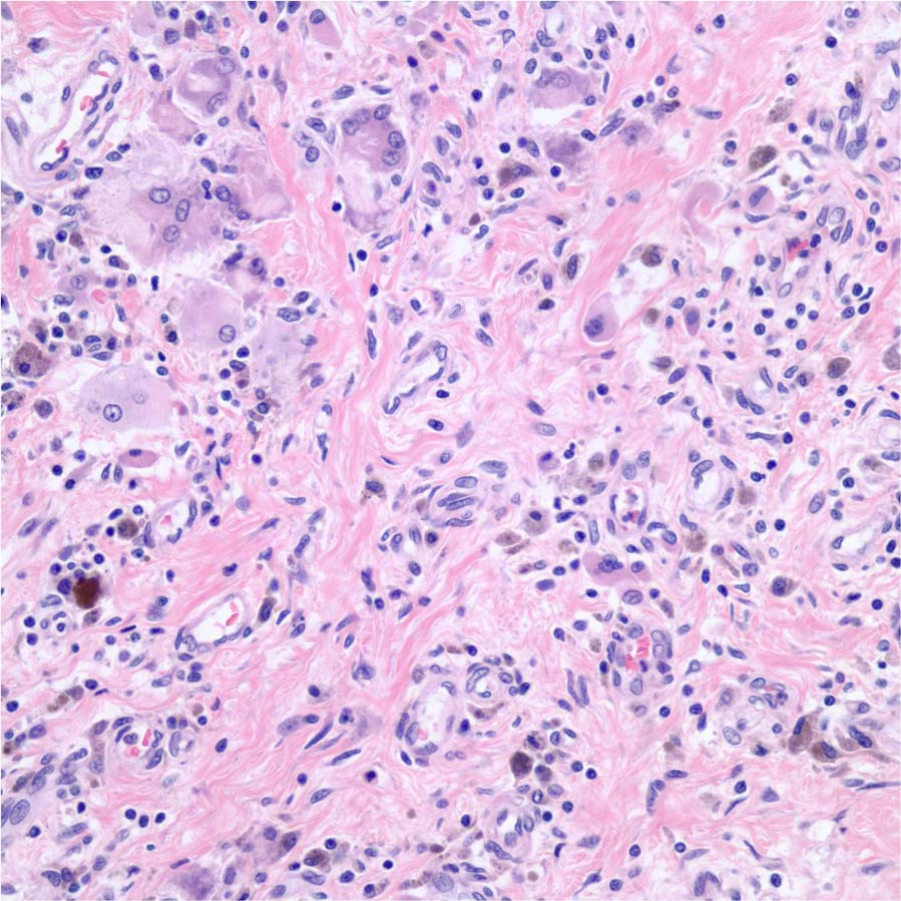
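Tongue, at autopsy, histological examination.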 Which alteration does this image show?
Fibrosis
